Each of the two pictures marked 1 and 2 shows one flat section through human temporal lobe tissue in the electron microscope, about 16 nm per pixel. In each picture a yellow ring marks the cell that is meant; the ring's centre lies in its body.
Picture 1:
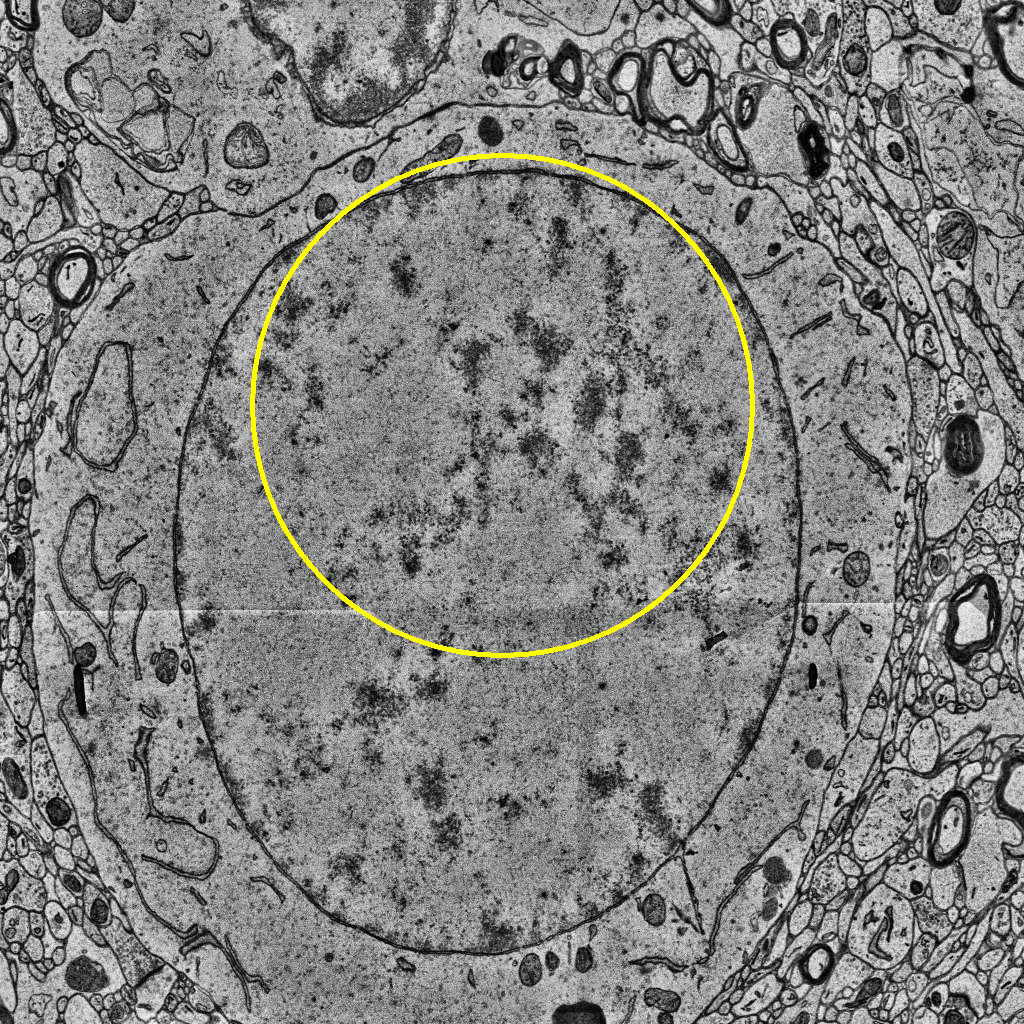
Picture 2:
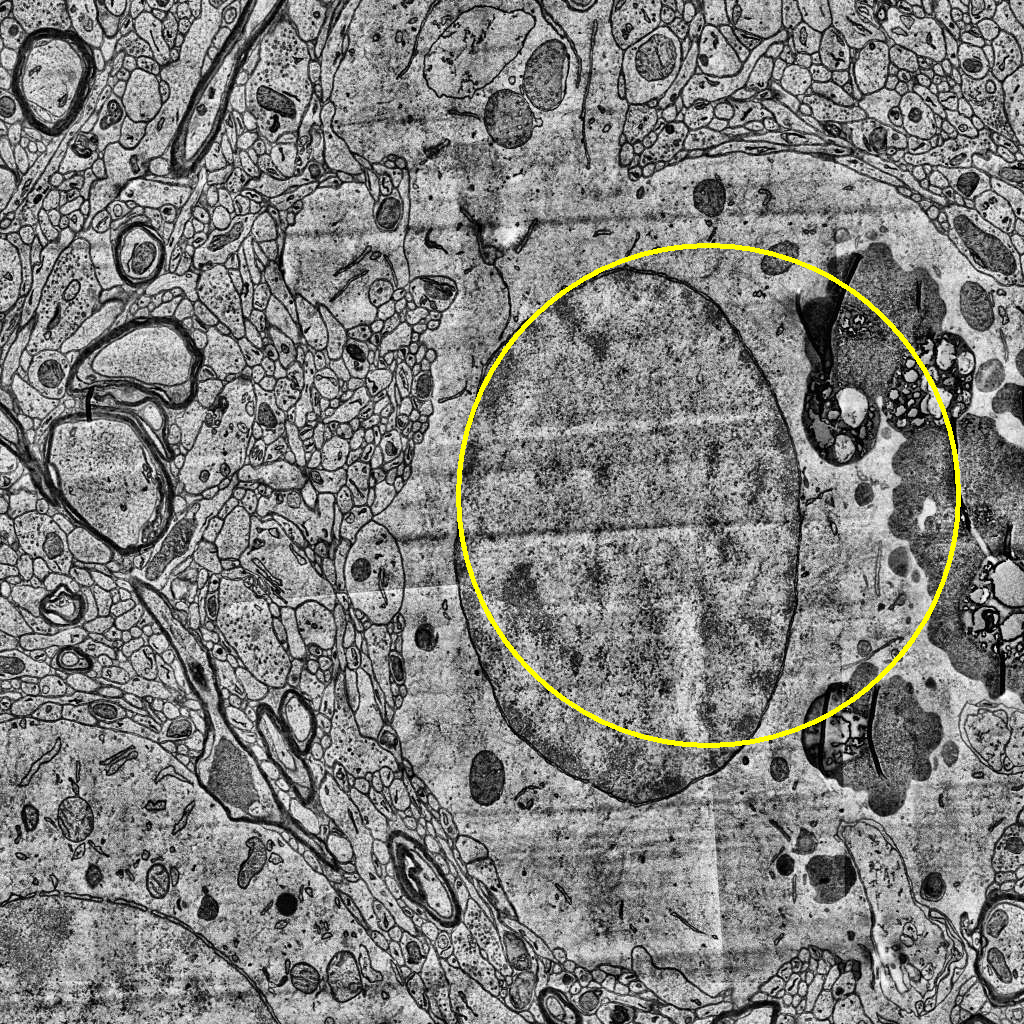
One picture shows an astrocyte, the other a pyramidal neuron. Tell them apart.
Picture 1 is of a pyramidal neuron, and picture 2 is of an astrocyte.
